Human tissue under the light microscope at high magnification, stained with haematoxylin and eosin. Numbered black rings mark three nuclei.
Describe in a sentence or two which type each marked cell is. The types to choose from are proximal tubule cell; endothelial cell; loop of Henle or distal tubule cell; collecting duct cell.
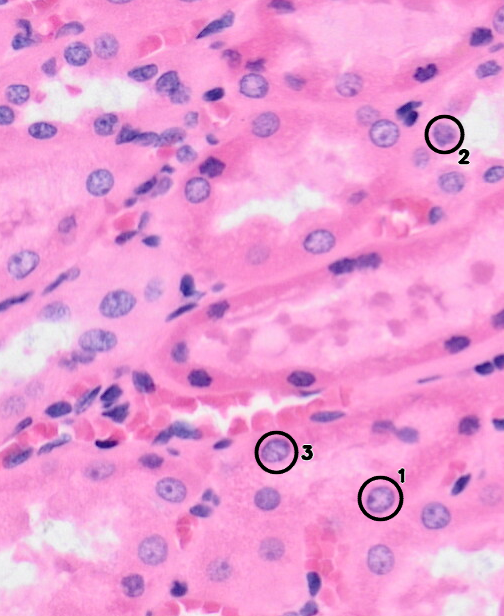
Cell 1 is a proximal tubule cell, cell 2 is a loop of Henle or distal tubule cell and cell 3 is a proximal tubule cell.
